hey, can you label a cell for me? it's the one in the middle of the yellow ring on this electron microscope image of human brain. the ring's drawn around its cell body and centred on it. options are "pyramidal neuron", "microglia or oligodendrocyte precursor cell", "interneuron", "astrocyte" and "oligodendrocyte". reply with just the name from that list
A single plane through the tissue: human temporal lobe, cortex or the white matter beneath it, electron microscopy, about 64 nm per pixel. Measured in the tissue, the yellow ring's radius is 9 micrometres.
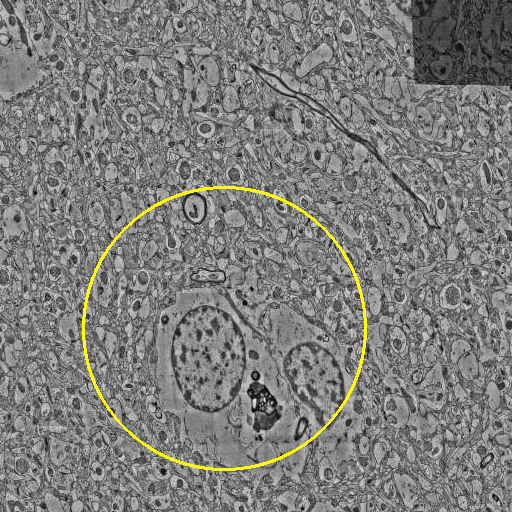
astrocyte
